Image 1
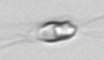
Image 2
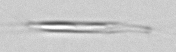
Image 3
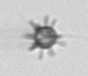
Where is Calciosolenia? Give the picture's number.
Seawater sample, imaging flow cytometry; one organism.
2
